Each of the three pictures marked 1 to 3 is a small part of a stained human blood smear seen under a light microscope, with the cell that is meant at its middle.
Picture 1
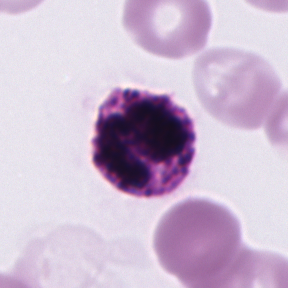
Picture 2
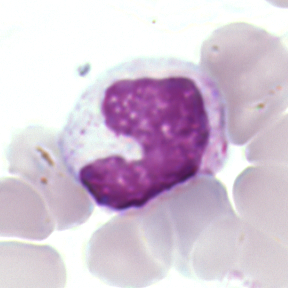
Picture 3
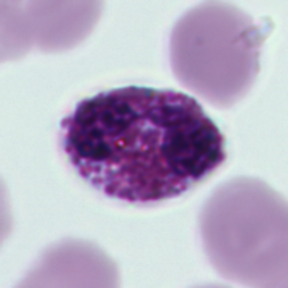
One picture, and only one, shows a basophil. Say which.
1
